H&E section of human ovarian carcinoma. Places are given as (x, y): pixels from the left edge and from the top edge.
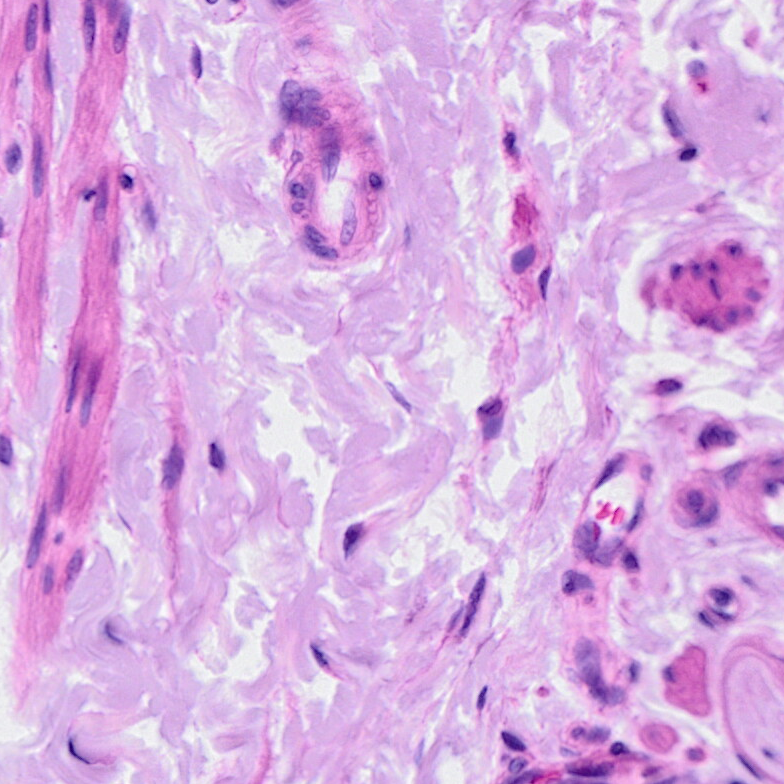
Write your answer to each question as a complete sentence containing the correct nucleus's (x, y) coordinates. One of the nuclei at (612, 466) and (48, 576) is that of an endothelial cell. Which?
The nucleus at position (612, 466) belongs to an endothelial cell.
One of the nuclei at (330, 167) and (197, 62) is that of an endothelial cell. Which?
The cell to which the nucleus at (330, 167) belongs is an endothelial cell.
